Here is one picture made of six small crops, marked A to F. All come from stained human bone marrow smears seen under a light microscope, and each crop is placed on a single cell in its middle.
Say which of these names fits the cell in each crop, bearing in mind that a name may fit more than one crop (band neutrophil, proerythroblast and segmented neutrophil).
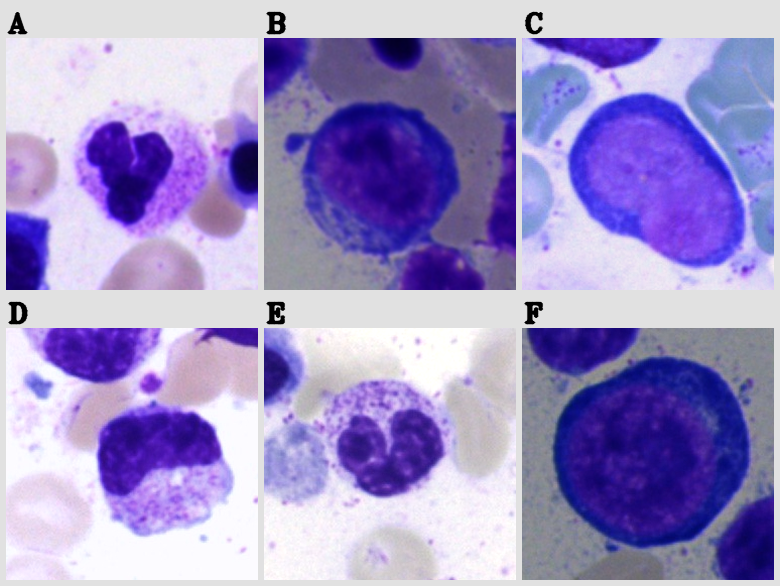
A: segmented neutrophil
B: proerythroblast
C: proerythroblast
D: band neutrophil
E: segmented neutrophil
F: proerythroblast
